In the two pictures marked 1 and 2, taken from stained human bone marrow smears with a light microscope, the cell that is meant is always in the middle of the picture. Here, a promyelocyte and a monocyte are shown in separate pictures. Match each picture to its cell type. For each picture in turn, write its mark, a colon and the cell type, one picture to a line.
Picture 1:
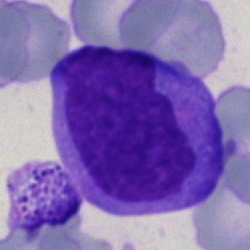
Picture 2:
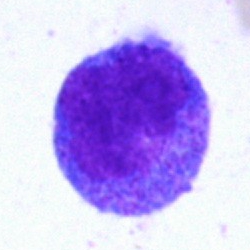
1: monocyte
2: promyelocyte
